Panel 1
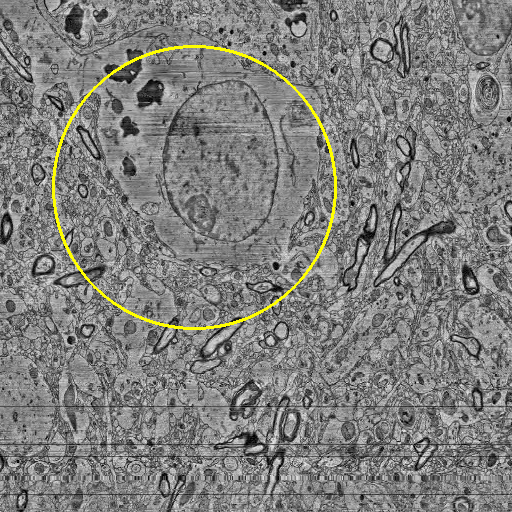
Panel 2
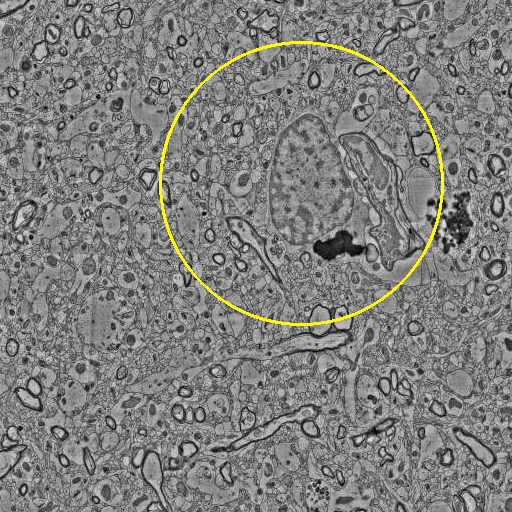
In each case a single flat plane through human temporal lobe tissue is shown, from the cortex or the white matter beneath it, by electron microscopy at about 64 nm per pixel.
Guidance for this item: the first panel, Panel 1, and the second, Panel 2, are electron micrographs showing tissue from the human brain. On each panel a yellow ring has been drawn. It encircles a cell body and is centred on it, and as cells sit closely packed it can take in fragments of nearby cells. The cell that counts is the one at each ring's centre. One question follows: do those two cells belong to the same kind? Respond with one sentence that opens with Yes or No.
No, the cells at the ring centres in Panel 1 and Panel 2 are of two kinds.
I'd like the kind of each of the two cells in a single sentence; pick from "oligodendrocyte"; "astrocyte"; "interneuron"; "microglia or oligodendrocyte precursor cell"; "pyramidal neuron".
The first ring marks an astrocyte, and the second ring marks an oligodendrocyte.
